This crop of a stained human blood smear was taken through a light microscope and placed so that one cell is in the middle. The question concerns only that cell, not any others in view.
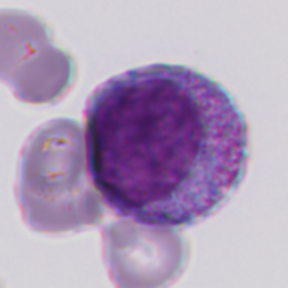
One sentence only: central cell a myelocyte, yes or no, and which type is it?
Yes, the cell found in the center of the crop is a myelocyte.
